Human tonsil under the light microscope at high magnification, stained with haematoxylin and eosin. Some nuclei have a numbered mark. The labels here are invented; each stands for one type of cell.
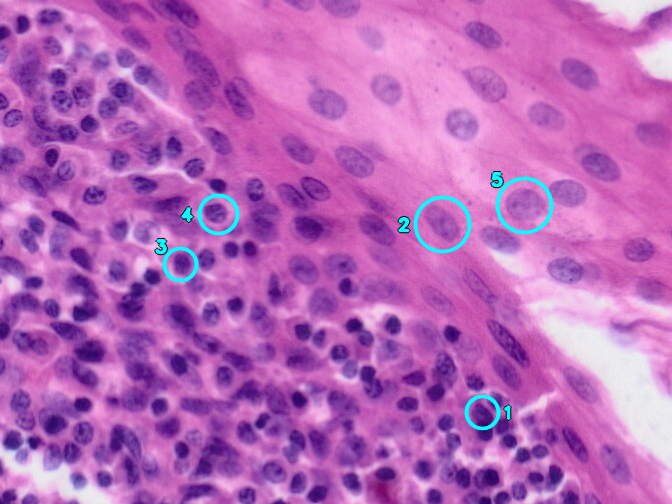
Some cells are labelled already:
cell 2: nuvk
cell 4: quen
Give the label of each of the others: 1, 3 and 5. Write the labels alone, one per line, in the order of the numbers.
quen
quen
nuvk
